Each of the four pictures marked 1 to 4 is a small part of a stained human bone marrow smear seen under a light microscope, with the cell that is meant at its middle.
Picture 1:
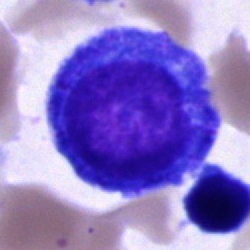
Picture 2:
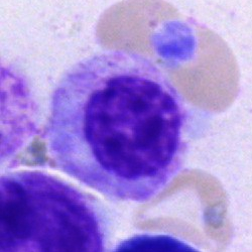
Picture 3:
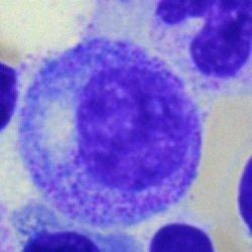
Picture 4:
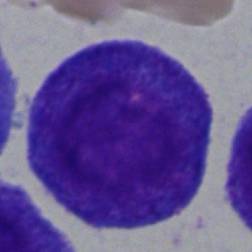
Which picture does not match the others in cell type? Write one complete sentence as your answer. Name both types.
Unlike the rest, which show promyelocytes, picture 2 shows a myelocyte.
